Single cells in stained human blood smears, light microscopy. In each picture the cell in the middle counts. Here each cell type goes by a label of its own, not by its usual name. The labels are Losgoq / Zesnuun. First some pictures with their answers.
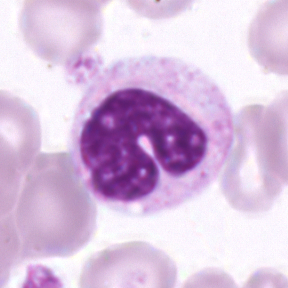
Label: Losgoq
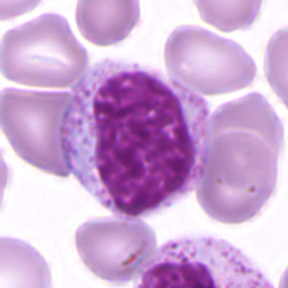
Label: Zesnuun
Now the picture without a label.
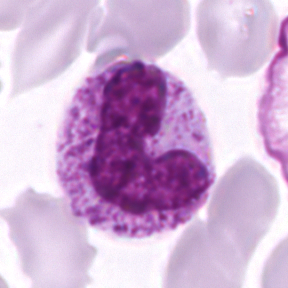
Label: Losgoq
